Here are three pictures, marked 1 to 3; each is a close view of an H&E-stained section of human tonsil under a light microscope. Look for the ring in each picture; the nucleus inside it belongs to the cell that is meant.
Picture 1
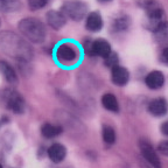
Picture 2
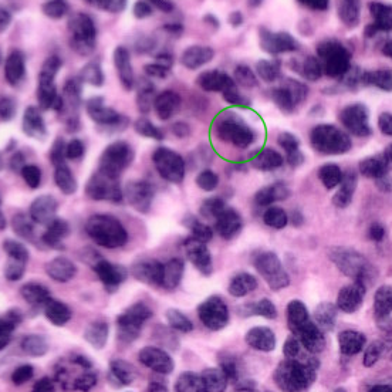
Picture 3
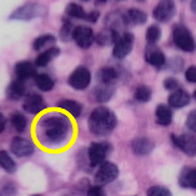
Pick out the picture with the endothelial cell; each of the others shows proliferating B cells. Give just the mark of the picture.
1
